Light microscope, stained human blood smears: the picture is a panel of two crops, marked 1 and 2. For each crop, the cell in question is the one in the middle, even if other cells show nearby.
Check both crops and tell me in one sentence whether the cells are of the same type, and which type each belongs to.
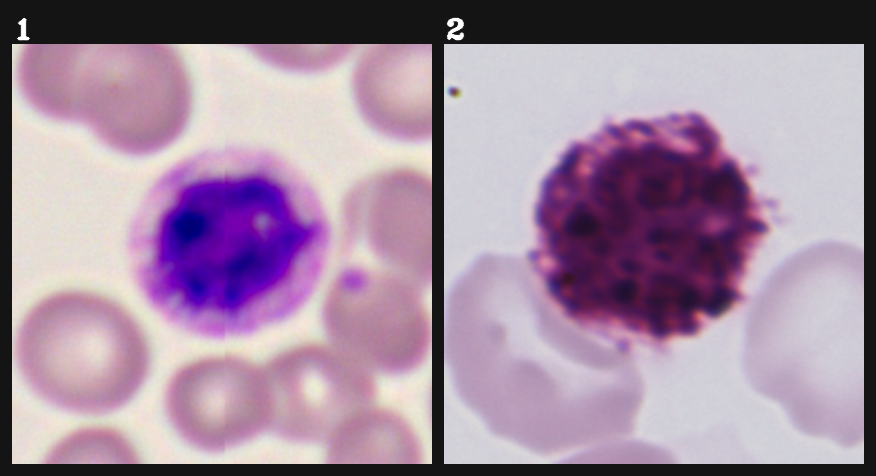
Yes, both crops show basophils, and the two match.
